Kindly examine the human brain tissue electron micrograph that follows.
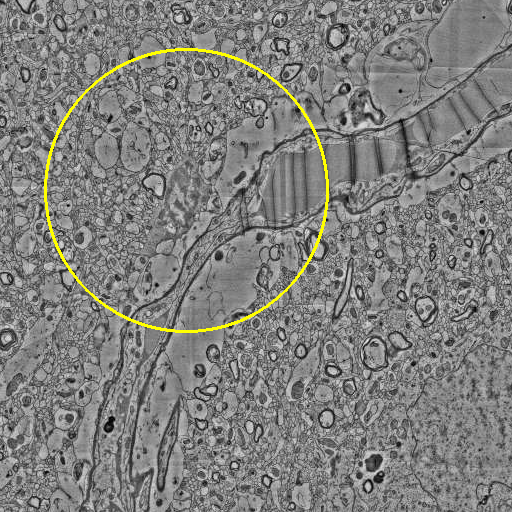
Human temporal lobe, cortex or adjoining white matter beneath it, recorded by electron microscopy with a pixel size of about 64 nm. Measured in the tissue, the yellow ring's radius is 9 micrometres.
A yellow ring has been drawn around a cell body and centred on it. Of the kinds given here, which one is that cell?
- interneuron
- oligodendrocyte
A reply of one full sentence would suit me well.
The micrograph's ringed cell, the one at the ring's centre, is an oligodendrocyte.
